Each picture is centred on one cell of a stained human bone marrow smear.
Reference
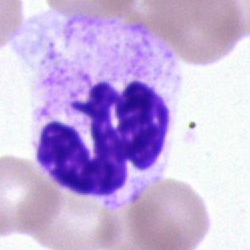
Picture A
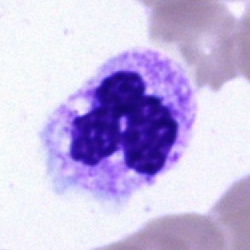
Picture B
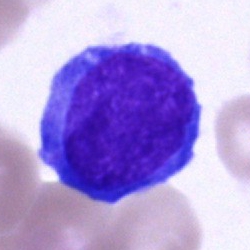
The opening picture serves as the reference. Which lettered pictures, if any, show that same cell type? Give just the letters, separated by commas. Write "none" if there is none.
A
